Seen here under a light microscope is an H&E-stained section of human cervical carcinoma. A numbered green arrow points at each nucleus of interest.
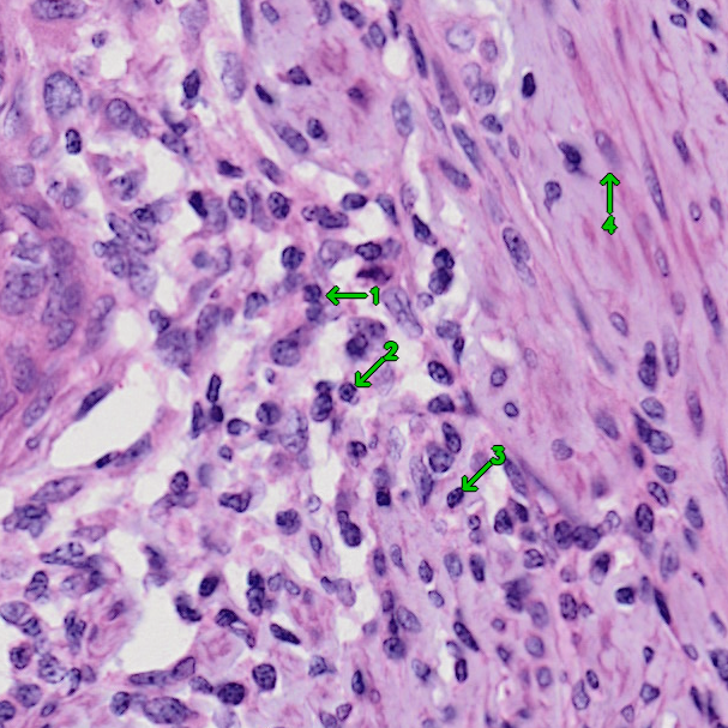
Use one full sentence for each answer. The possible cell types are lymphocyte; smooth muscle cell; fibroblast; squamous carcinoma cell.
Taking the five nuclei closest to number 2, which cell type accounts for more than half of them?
Of the five nuclei nearest to number 2, most belong to lymphocytes.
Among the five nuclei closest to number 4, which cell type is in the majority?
Of the five nuclei nearest to number 4, most belong to smooth muscle cells.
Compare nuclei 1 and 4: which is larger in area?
Of the two, number 4 is bigger and takes up about 1.5 times the area of number 1.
